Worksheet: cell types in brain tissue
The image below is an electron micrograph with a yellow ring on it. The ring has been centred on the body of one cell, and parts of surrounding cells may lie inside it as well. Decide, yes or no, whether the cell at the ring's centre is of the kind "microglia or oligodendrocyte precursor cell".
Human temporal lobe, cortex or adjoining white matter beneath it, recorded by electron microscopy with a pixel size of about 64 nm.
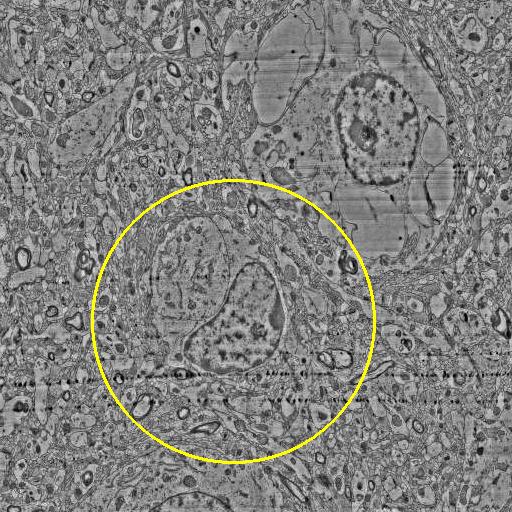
yes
